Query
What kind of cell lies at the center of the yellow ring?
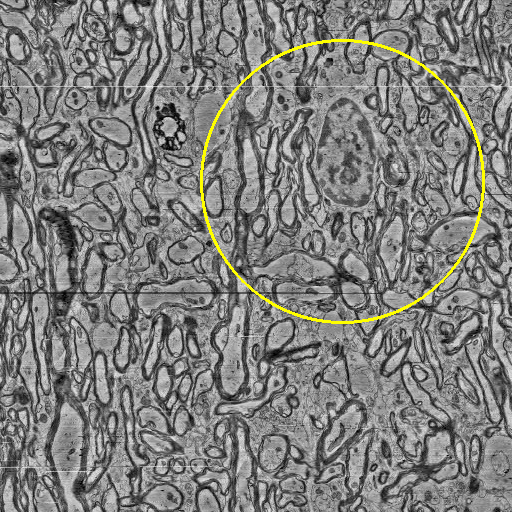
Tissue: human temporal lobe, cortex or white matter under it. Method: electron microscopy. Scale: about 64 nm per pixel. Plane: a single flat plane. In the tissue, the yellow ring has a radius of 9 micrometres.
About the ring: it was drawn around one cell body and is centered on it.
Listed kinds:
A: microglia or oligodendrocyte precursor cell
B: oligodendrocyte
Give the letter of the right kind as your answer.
A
